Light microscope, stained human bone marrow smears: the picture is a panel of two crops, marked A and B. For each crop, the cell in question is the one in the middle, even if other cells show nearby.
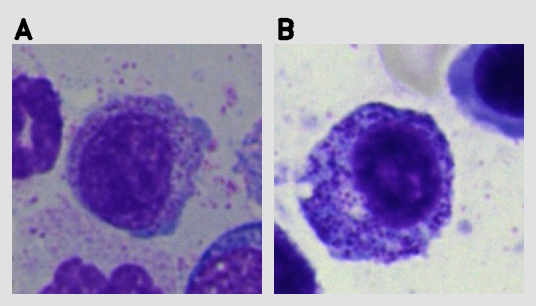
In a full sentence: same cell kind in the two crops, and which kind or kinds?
Yes, these two crops both show myelocytes.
